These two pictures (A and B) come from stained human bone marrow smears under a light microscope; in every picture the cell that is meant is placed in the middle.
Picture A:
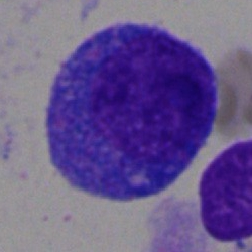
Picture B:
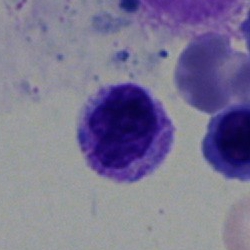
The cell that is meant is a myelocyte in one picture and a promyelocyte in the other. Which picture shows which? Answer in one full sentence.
The cell in picture A is a promyelocyte, and the one in picture B is a myelocyte.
